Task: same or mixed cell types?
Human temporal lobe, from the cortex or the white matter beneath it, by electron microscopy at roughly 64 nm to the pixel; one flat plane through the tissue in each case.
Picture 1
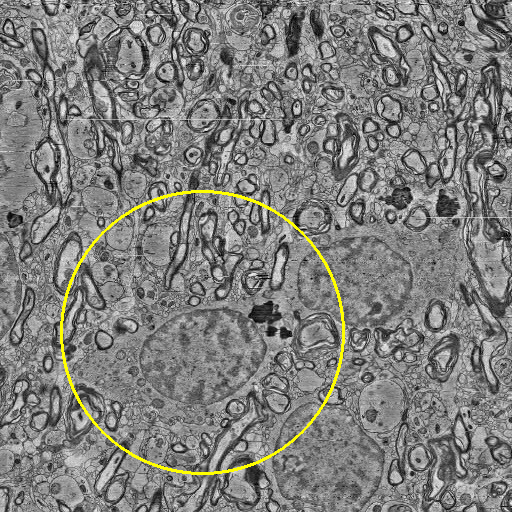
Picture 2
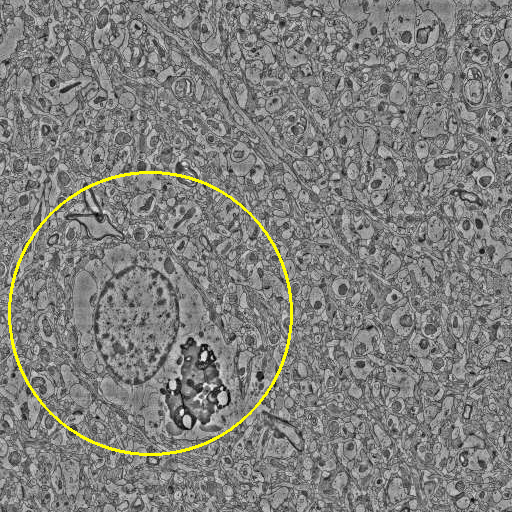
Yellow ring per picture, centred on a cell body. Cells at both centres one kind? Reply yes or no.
no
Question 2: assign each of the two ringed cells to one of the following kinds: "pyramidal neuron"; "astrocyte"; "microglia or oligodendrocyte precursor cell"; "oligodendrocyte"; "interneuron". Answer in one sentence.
The two cells are an oligodendrocyte in the first picture and an astrocyte in the second.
